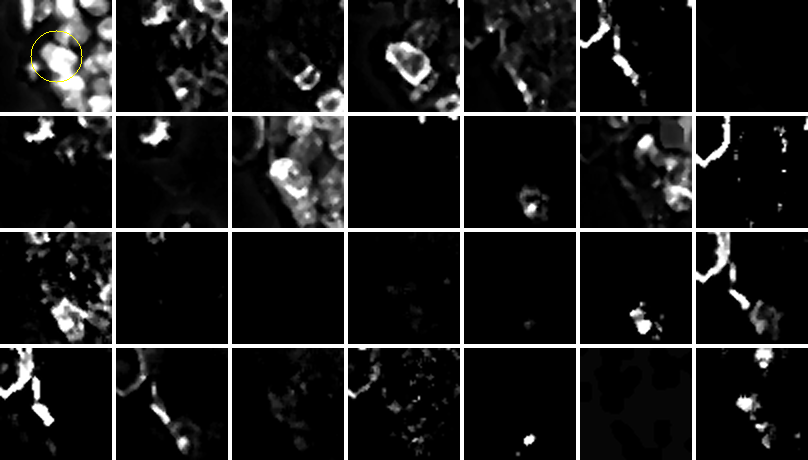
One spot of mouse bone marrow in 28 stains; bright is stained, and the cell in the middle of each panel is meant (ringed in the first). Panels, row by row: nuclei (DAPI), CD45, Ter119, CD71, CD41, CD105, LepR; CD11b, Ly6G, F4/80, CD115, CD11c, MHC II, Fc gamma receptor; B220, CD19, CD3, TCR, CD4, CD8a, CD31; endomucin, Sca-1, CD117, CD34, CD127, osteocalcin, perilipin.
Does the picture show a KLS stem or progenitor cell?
No, it shows a capillary endothelial cell.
